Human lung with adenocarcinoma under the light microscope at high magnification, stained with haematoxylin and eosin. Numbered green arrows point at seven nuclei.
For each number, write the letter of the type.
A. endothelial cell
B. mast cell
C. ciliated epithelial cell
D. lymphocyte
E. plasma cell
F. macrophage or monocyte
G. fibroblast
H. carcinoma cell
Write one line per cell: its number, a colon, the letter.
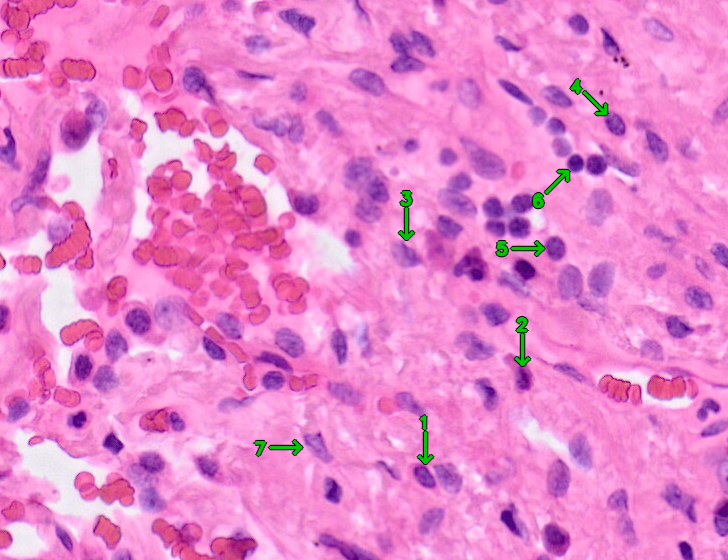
1: B
2: E
3: G
4: B
5: D
6: D
7: G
